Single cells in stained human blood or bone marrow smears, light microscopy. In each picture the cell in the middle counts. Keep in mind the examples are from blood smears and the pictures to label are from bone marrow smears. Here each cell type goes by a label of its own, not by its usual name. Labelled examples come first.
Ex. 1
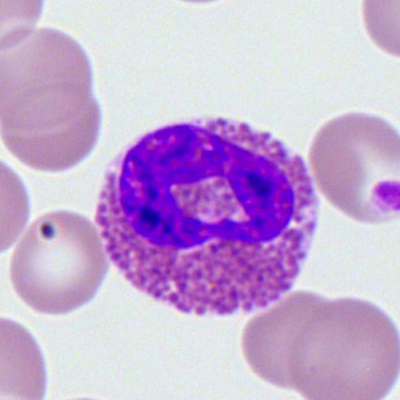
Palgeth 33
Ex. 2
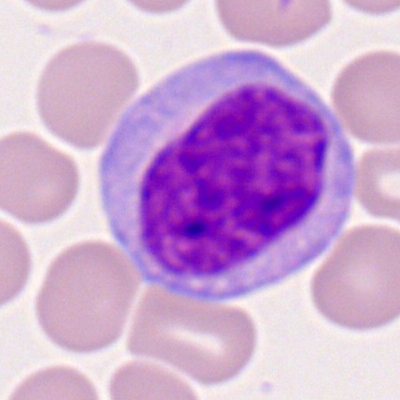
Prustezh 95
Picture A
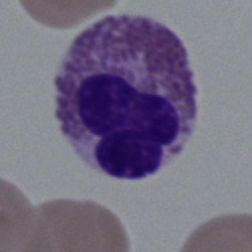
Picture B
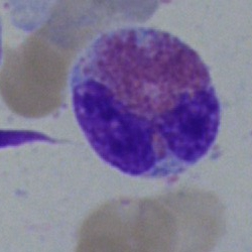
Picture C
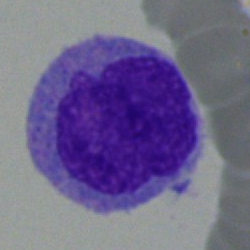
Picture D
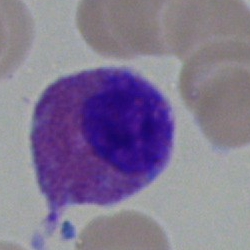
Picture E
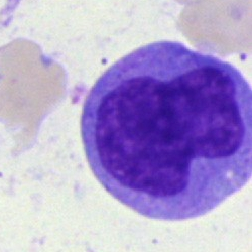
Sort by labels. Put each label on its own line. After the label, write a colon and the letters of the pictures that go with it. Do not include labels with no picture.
Palgeth 33: A, B, D
Prustezh 95: C, E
